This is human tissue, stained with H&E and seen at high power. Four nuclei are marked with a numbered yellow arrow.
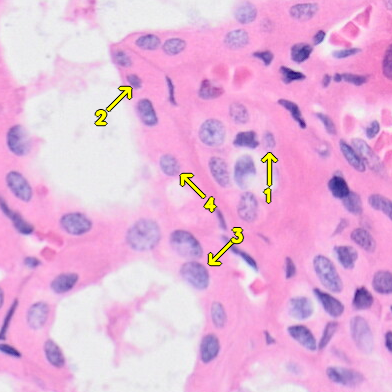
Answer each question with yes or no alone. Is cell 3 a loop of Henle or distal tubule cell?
yes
